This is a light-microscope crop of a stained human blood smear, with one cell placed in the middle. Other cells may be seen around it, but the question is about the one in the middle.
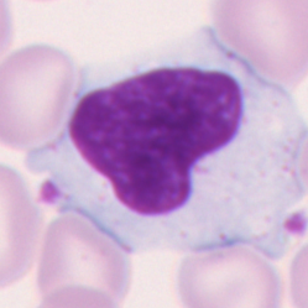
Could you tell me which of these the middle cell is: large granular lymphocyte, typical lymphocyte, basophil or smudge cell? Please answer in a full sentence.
The cell at the central position in this crop is a large granular lymphocyte.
